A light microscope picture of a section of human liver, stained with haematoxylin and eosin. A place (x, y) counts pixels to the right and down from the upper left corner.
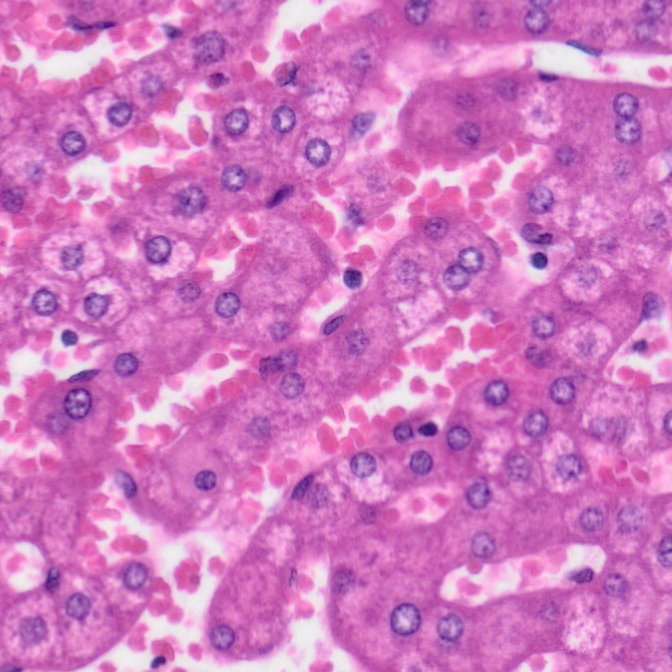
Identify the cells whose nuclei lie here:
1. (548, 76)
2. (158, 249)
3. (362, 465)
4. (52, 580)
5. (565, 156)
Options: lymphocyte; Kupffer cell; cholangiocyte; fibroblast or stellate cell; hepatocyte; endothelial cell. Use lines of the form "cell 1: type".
cell 1: fibroblast or stellate cell
cell 2: hepatocyte
cell 3: hepatocyte
cell 4: fibroblast or stellate cell
cell 5: hepatocyte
